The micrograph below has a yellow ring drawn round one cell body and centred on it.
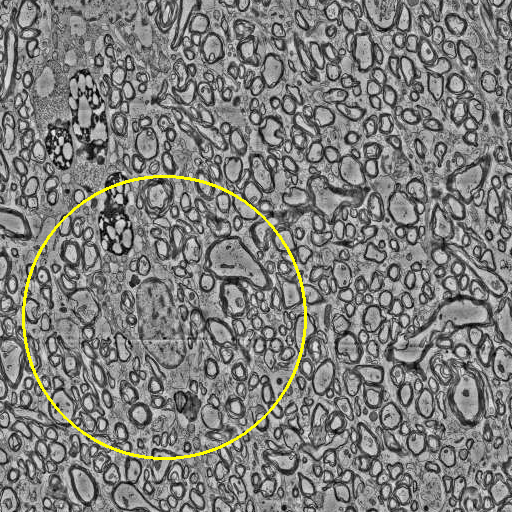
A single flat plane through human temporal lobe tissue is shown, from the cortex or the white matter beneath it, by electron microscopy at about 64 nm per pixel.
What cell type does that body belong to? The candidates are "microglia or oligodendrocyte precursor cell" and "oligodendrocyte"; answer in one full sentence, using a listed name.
This is a microglial cell or oligodendrocyte precursor cell, the cell whose body lies at the centre of the ring.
